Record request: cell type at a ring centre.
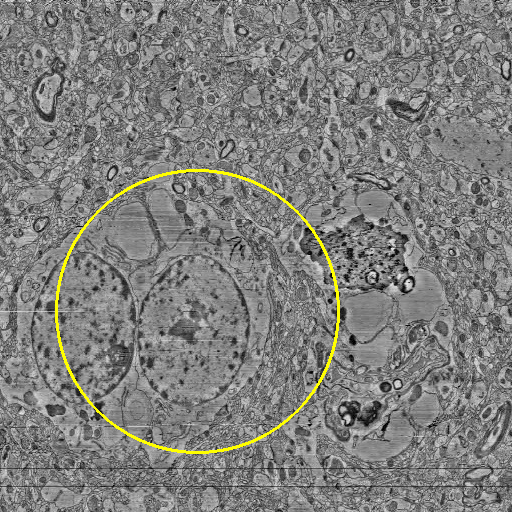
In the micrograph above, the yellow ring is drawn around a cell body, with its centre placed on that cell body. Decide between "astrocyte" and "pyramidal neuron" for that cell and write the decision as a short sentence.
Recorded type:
The cell centred in the yellow ring is an astrocyte.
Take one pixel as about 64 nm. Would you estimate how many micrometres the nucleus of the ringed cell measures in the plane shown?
In this plane the nucleus measures roughly 10 by 7 micrometres.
